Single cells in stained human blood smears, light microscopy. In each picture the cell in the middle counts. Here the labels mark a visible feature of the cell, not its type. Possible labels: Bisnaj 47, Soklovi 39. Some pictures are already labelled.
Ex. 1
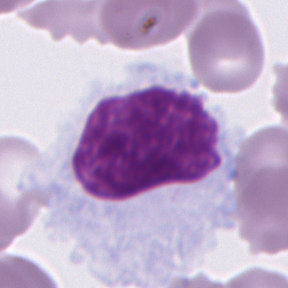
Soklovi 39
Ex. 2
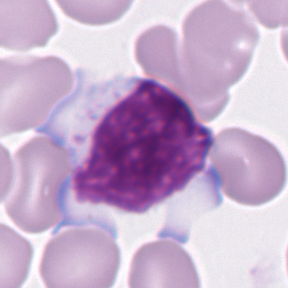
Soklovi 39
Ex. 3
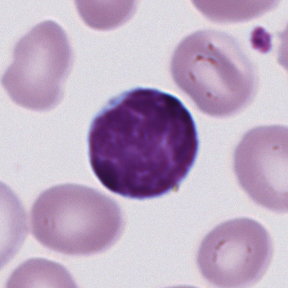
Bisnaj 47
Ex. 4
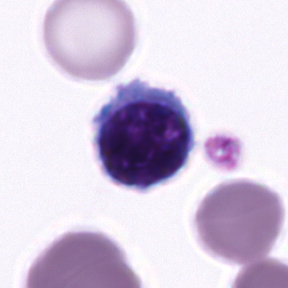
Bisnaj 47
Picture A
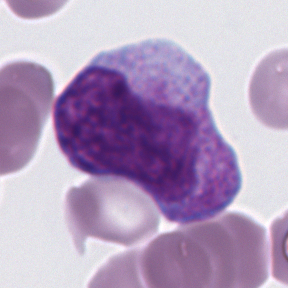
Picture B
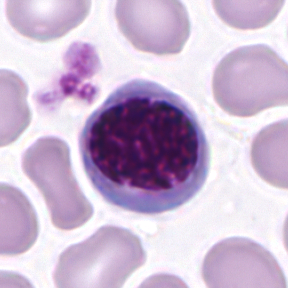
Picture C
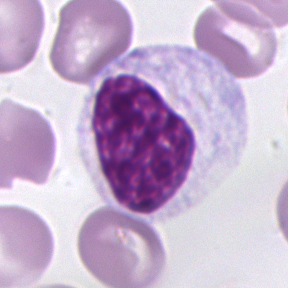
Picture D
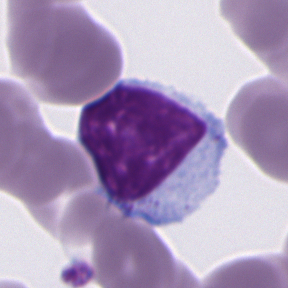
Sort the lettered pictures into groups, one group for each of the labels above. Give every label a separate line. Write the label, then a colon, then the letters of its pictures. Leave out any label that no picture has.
Bisnaj 47: B
Soklovi 39: A, C, D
